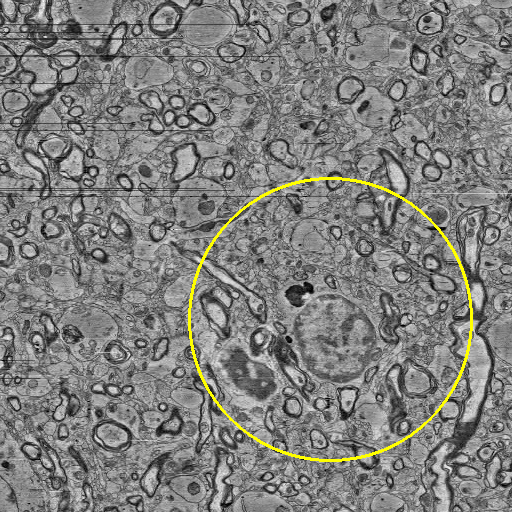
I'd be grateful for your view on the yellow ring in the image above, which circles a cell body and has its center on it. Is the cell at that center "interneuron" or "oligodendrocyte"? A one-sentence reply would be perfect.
The cell at the center of the yellow ring is an oligodendrocyte.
